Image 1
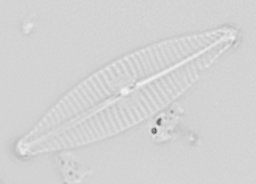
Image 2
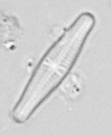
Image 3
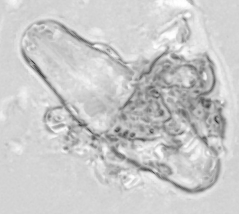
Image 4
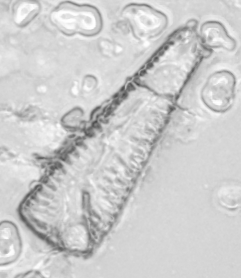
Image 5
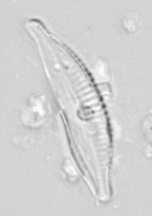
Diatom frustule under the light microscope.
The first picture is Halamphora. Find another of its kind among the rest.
Picture 5.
